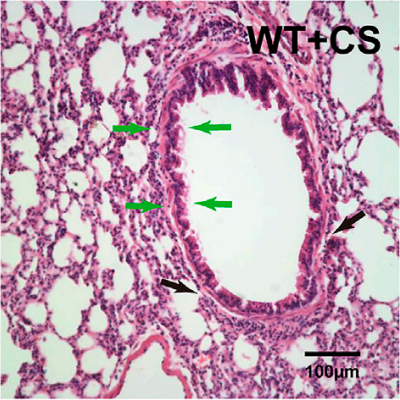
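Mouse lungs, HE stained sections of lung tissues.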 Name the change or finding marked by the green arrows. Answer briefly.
airway epithelium thickening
